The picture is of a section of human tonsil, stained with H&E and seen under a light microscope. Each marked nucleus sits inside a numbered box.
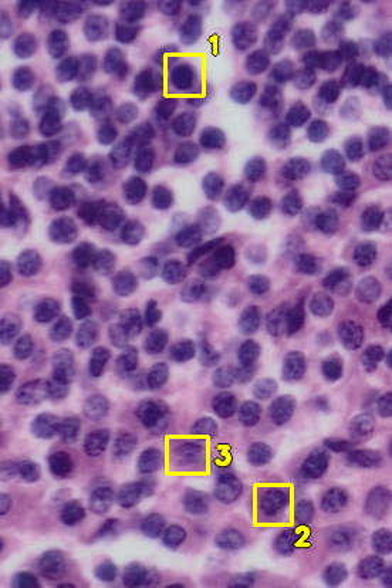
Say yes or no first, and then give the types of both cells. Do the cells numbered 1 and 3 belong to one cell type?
No, cell 1 is a small lymphocyte and cell 3 is a plasma cell.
